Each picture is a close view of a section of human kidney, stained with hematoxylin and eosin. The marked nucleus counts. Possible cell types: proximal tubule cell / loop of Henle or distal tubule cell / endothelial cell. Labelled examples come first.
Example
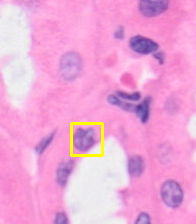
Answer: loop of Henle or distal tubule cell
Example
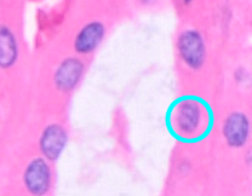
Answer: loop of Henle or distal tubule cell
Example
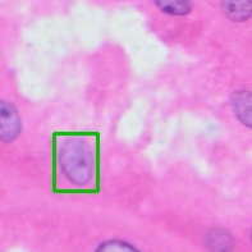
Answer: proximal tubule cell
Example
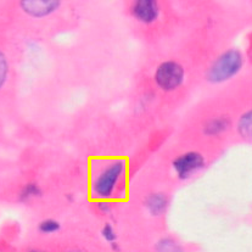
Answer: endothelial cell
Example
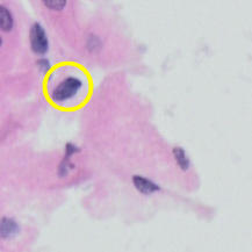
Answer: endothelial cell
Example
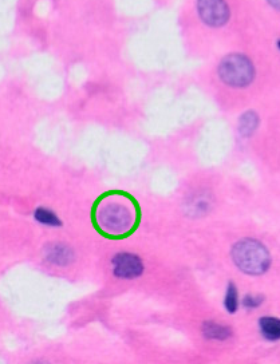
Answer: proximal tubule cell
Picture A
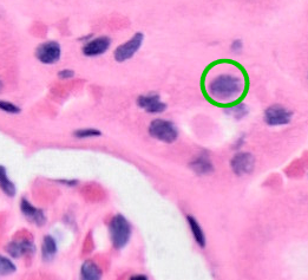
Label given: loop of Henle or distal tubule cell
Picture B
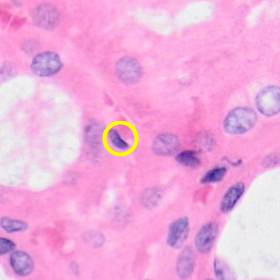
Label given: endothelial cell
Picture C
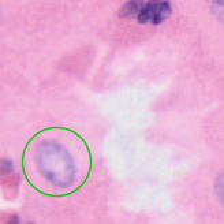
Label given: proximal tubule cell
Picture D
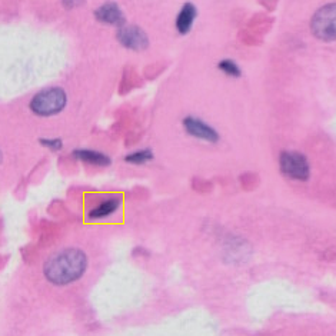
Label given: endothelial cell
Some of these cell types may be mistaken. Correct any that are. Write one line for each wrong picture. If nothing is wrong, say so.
No label is wrong.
